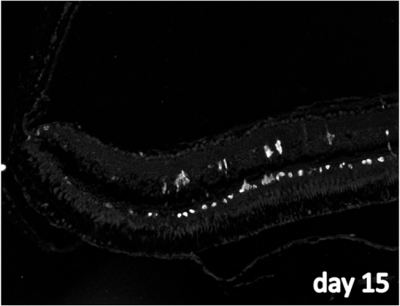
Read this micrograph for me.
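A row of small, round, bright white nuclei runs along the outer nuclear layer, next to the striated photoreceptor segments. A few elongated white clusters remain in the inner nuclear layer above this row. The rest of the retina shows only faint background that outlines its layers.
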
